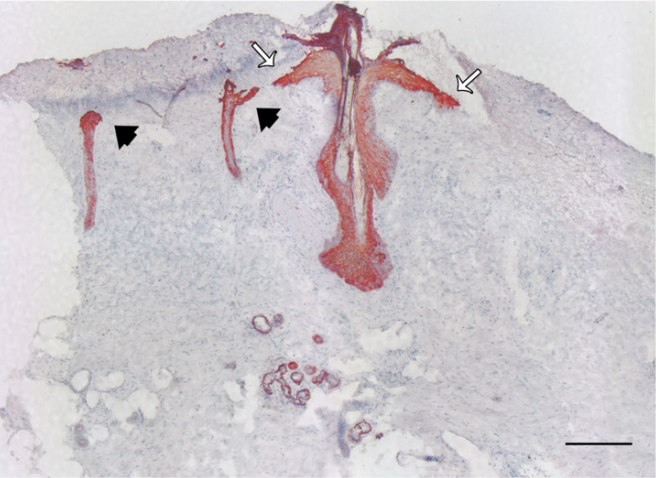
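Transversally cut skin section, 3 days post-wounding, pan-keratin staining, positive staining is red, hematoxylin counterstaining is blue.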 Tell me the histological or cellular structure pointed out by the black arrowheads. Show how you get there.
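Thin red-stained epithelial cords run vertically through the dermis without a hair shaft. Their upper ends widen where they meet the surface layer above the dermis. On this evidence: Outgrowths from eccrine sweat glands.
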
